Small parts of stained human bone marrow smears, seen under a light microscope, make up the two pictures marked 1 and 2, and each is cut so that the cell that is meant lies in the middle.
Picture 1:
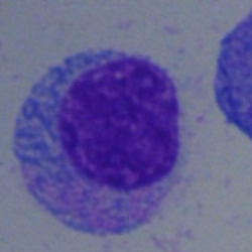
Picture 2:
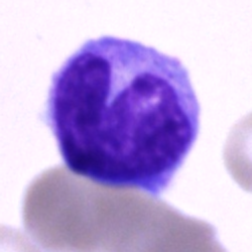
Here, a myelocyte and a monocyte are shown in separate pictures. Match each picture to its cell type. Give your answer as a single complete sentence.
The cell in picture 1 is a myelocyte, and the one in picture 2 is a monocyte.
